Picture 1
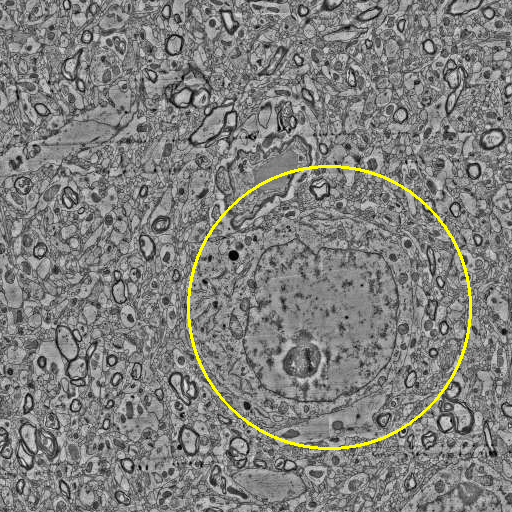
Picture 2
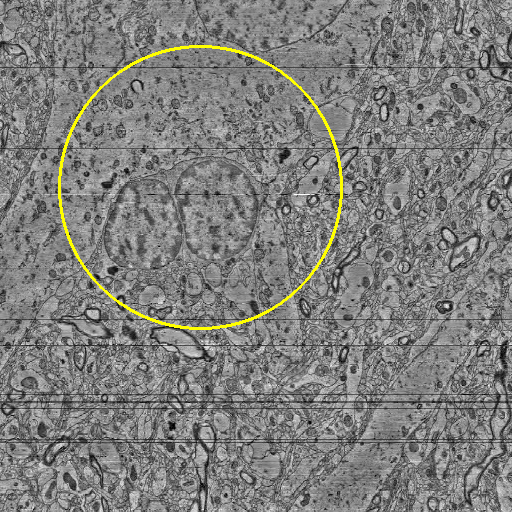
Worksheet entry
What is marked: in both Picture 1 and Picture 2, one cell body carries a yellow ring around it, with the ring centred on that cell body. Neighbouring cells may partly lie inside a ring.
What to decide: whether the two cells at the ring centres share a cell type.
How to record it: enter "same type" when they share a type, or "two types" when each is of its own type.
two types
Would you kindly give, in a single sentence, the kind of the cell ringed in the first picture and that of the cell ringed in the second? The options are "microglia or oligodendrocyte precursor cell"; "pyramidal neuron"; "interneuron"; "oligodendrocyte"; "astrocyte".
The second cell is an oligodendrocyte, and the first cell is a pyramidal neuron.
